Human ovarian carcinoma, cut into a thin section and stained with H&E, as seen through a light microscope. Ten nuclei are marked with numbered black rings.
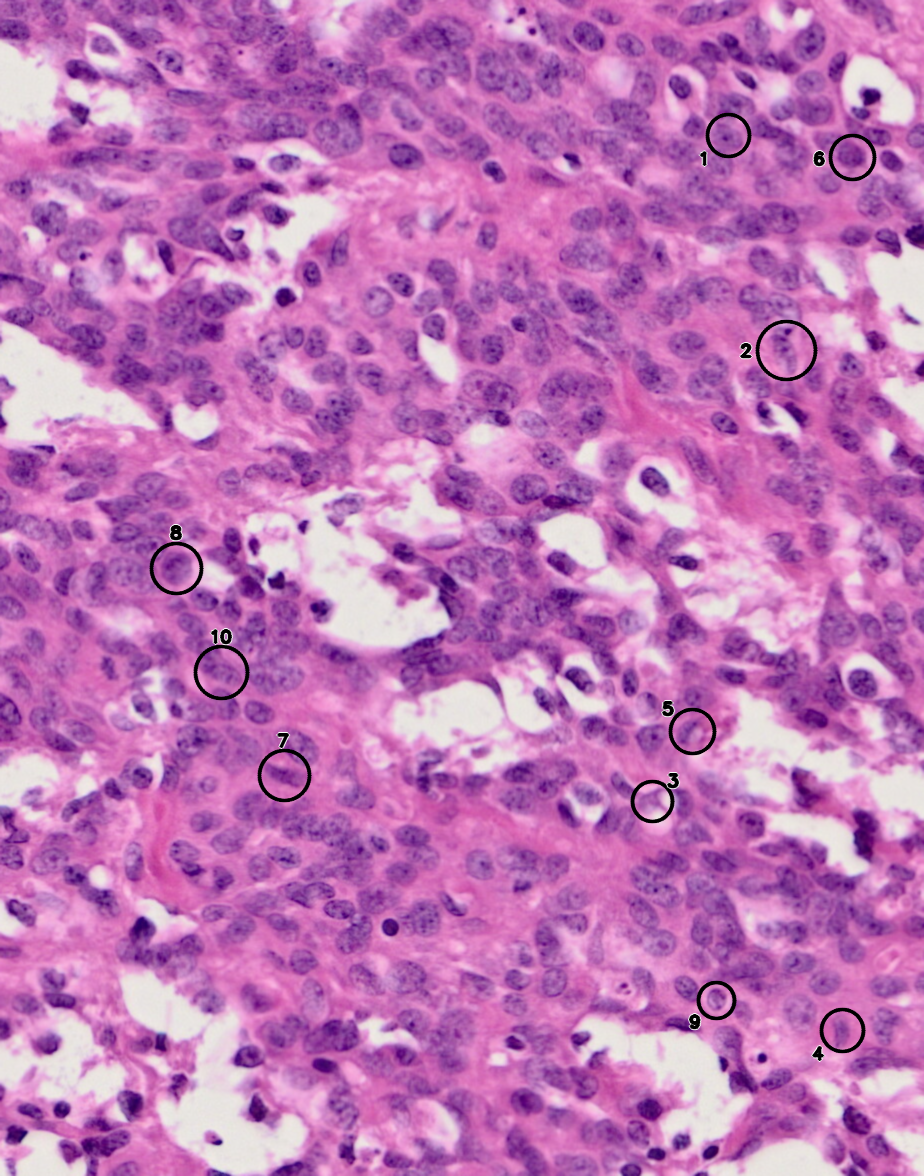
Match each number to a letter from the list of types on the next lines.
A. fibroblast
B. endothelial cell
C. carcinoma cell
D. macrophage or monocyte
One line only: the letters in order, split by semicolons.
C; D; C; B; B; C; C; C; D; C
